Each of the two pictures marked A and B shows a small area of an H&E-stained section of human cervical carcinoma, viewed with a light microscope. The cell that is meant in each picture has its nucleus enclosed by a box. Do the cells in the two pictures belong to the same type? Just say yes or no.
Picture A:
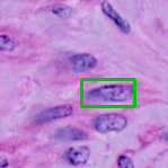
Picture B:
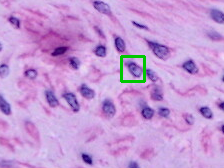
yes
